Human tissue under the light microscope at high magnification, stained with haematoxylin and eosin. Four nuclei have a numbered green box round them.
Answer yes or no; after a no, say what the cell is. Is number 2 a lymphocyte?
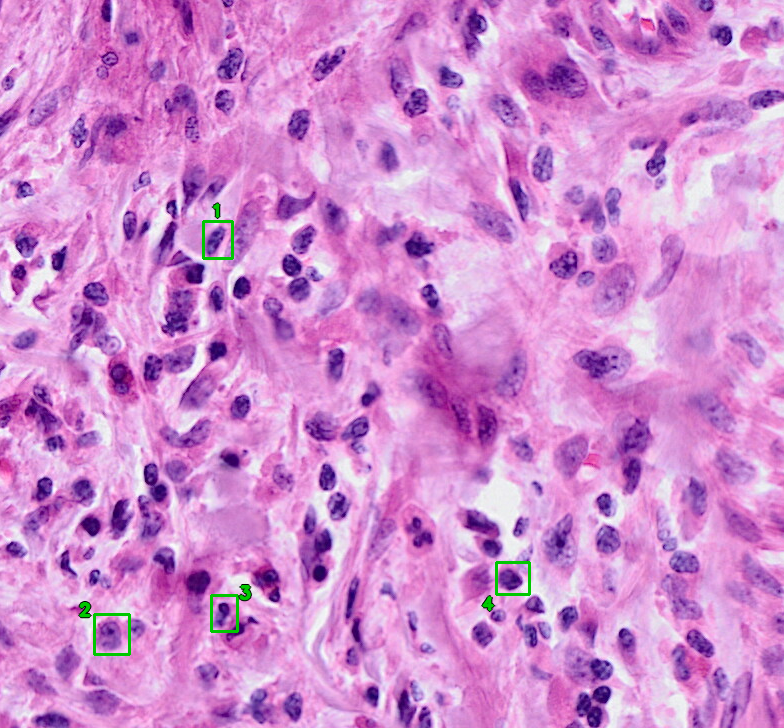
No, it is a macrophage or monocyte.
